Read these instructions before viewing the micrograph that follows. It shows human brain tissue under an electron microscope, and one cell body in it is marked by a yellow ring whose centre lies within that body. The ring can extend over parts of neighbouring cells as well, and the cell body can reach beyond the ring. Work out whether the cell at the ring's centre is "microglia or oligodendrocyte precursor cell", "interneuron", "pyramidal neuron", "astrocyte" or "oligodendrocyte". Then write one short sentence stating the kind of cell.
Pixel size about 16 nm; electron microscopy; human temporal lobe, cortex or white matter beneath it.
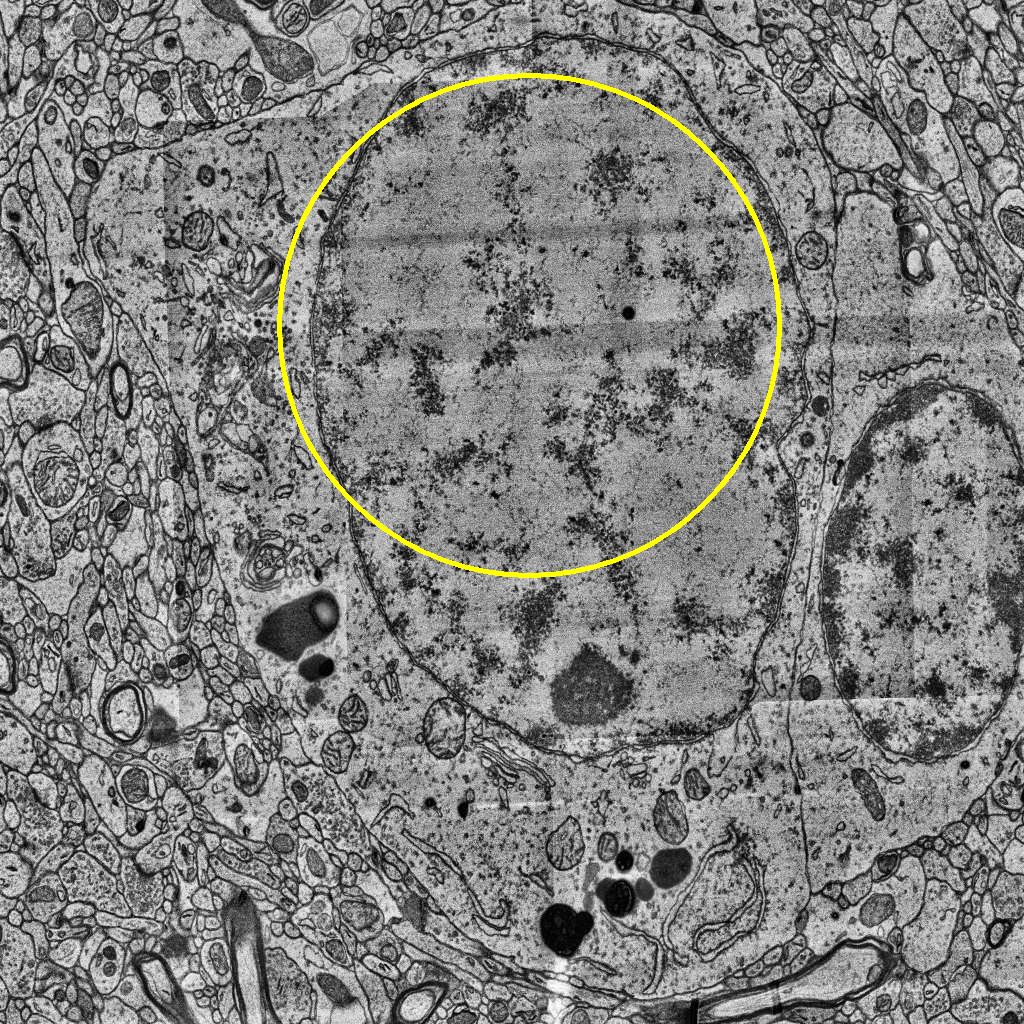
The cell at the ring's centre is a pyramidal neuron.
